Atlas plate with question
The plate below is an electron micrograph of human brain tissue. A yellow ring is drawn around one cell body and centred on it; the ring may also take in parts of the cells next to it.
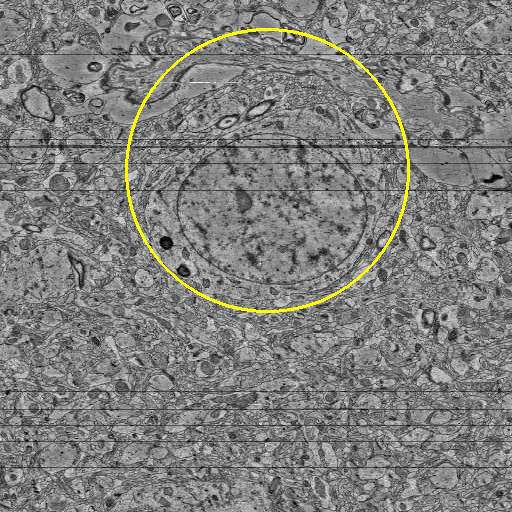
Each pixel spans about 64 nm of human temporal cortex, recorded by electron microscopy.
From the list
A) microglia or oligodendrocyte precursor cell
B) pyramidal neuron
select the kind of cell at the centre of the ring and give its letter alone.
B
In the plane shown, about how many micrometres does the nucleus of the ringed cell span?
About 12 by 10 micrometers for the nucleus, in this plane.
